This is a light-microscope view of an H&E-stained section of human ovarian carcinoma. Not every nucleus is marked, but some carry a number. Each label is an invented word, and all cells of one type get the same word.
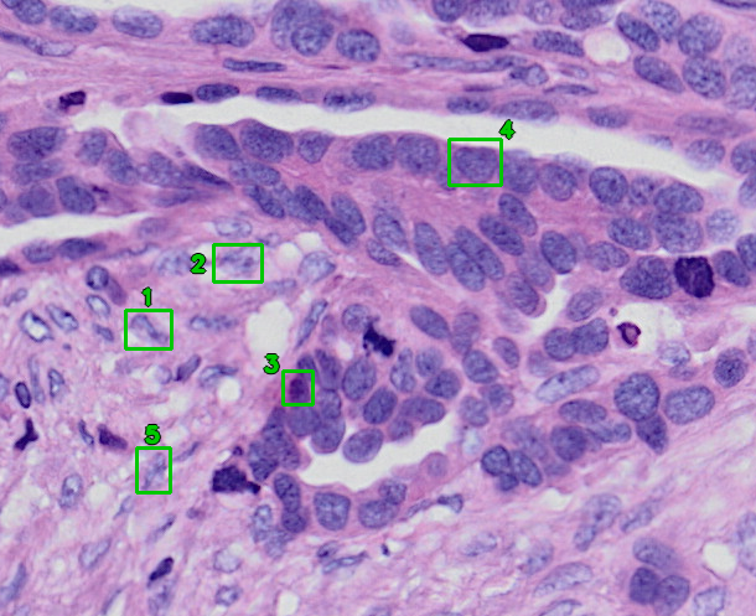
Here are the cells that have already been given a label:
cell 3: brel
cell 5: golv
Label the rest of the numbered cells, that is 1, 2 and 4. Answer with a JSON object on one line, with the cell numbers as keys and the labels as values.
{"1": "golv", "2": "golv", "4": "brel"}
